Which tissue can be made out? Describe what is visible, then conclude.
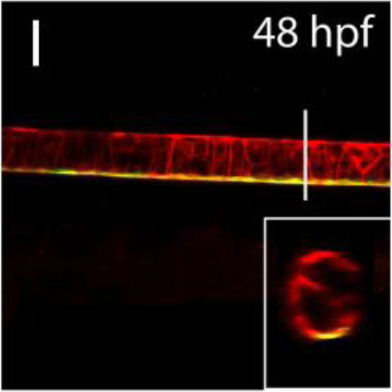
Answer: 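A straight horizontal rod made of large polygonal cells outlined in red. A thin bright line runs along the lower edge of the rod. The answer: notochord.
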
